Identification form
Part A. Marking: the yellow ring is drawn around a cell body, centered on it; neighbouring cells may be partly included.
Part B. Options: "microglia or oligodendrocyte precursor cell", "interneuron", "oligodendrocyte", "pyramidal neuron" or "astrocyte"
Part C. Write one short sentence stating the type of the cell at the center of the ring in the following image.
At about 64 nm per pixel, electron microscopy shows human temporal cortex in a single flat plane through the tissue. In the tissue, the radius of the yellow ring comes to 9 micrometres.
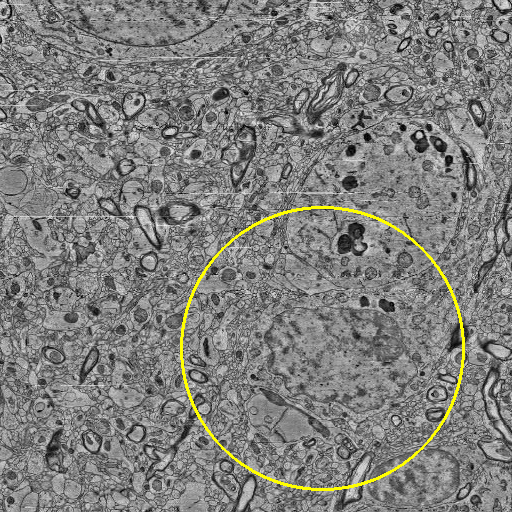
The center of the ring holds an interneuron.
